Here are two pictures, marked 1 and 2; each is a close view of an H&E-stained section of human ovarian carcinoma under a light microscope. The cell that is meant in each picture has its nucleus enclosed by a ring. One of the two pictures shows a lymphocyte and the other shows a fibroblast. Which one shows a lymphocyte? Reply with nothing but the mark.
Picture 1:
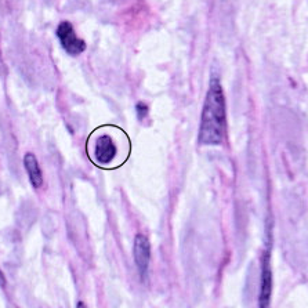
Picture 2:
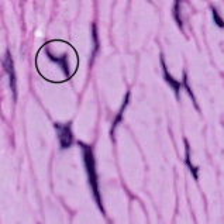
1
